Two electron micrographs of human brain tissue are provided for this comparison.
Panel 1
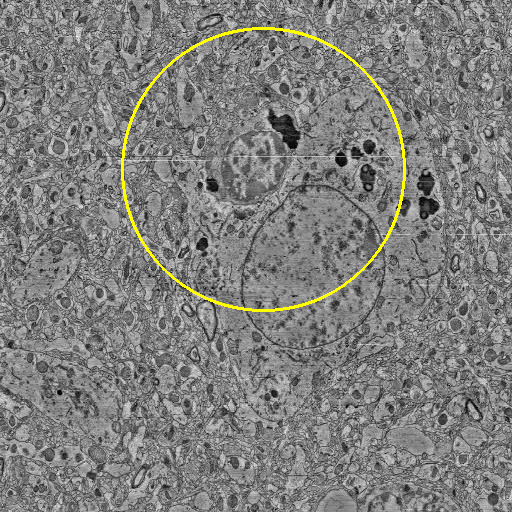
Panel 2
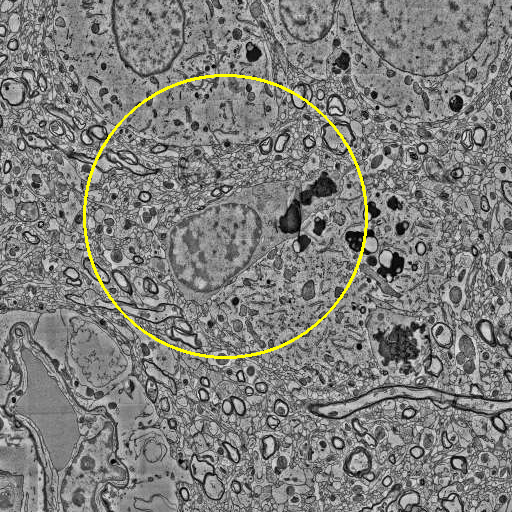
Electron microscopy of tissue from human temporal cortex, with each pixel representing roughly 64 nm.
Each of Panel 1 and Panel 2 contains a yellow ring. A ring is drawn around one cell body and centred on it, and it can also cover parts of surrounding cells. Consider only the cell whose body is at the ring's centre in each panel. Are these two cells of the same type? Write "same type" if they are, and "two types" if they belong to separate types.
same type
